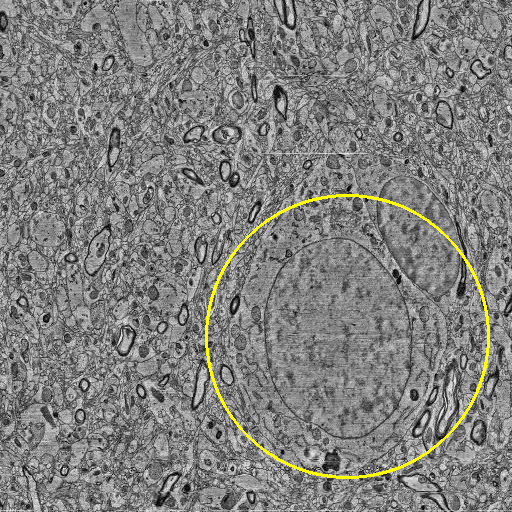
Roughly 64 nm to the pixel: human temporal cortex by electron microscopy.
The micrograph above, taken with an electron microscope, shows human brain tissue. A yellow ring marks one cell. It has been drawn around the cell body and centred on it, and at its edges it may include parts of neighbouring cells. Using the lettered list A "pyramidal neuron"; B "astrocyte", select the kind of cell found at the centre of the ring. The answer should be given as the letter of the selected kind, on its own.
A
